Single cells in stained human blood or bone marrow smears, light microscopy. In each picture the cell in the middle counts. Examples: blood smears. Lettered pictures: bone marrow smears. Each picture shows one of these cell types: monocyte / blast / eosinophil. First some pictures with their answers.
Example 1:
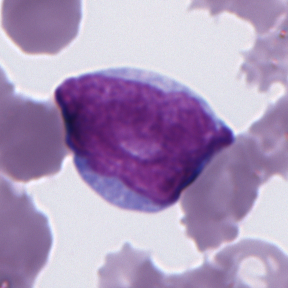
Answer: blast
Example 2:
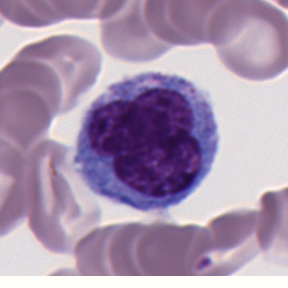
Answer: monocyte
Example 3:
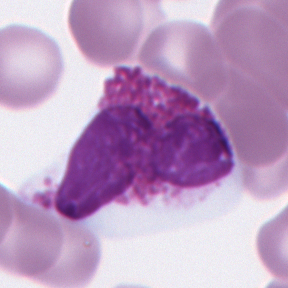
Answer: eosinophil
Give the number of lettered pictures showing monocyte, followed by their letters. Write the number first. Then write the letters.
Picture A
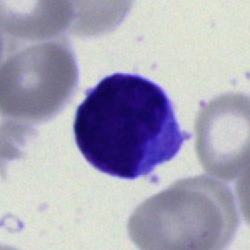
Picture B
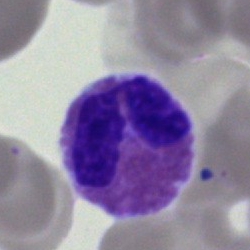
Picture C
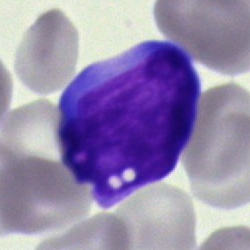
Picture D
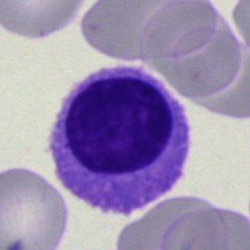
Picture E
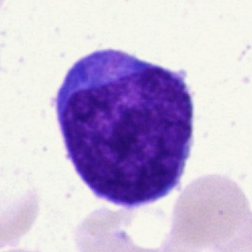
Count: 1 (D)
